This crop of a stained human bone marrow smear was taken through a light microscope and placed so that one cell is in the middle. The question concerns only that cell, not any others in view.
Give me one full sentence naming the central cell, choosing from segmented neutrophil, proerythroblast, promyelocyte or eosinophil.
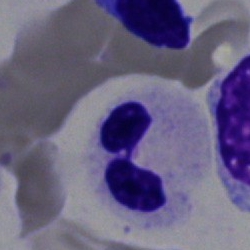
In the middle of this smear crop is a segmented neutrophil.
